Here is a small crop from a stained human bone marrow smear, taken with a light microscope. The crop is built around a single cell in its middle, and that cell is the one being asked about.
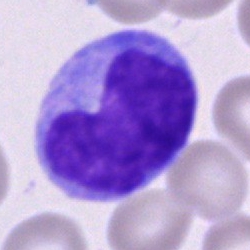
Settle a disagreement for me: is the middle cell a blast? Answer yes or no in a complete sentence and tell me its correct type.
No, the cell in the centre of the crop is a monocyte as opposed to a blast.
